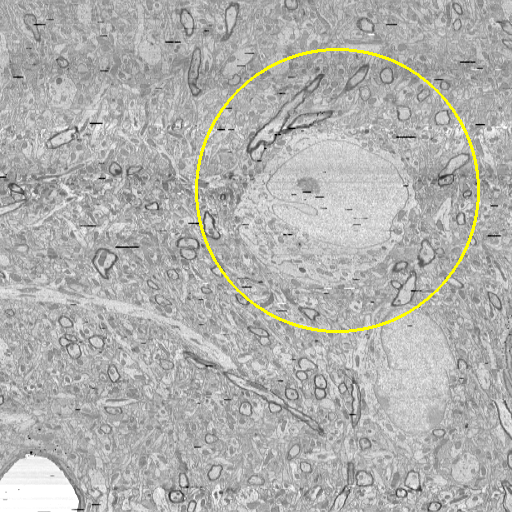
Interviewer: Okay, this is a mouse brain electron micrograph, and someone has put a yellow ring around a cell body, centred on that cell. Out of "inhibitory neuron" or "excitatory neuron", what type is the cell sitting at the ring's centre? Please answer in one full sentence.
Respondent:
The cell at the centre of the yellow ring in this picture is an excitatory neuron.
